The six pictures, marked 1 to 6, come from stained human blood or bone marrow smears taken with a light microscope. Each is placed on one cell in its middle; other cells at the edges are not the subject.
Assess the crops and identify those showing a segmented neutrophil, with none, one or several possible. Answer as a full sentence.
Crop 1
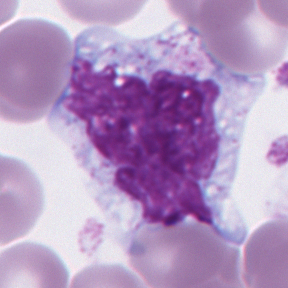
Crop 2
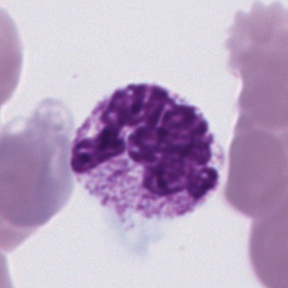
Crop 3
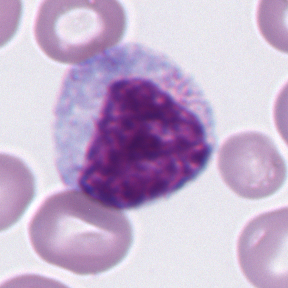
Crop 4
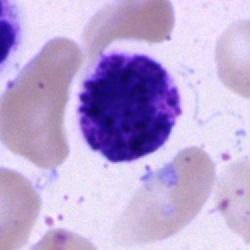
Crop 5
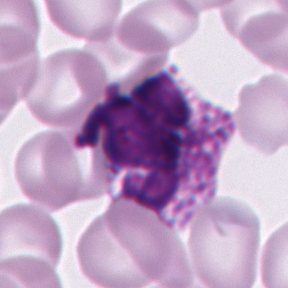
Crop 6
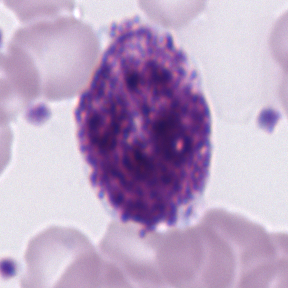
Of all the crops, a segmented neutrophil is found in crop 2 alone.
